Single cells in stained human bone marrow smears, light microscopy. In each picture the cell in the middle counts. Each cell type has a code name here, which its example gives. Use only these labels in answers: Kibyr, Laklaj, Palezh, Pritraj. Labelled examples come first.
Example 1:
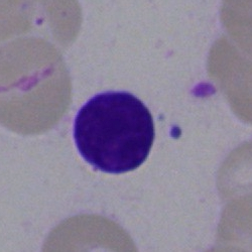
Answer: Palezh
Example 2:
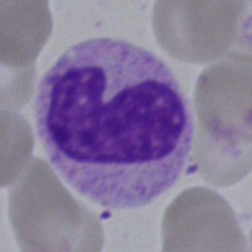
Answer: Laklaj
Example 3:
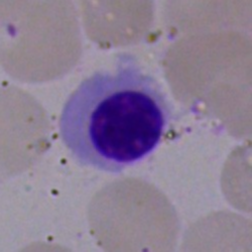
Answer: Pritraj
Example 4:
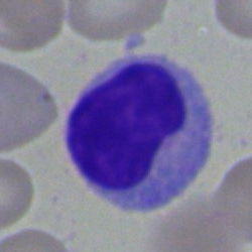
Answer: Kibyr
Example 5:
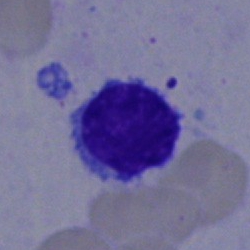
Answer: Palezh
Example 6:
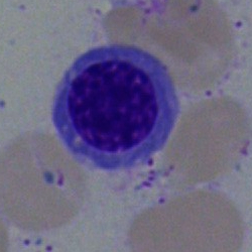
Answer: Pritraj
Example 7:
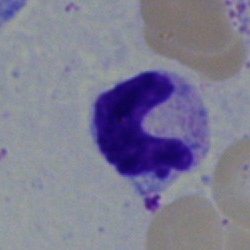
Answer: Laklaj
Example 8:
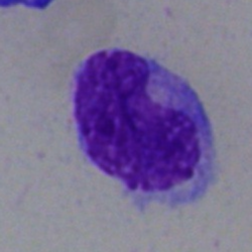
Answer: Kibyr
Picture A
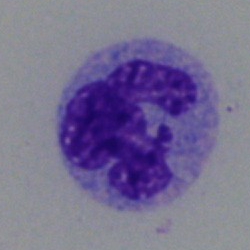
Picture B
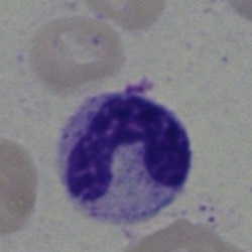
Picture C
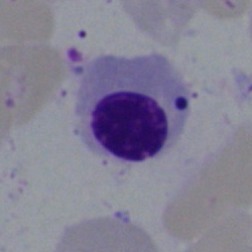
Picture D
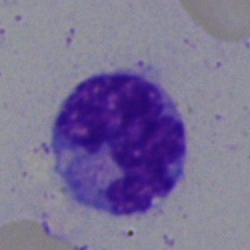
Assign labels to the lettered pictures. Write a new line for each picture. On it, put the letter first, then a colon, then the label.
A: Kibyr
B: Laklaj
C: Pritraj
D: Kibyr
